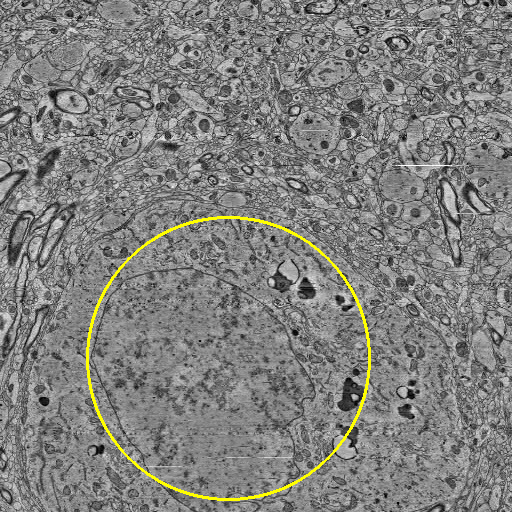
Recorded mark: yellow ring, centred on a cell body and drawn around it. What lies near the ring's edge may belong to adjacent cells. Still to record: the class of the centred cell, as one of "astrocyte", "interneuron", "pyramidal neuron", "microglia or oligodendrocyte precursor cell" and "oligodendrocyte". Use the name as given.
pyramidal neuron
